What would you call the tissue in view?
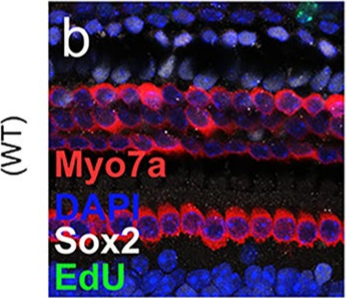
Sensory epithelium.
